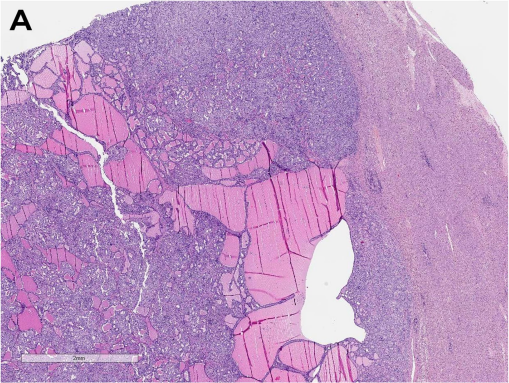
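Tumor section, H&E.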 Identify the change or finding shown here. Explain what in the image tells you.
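Cystic expansion. Large spaces filled with pink material lie within the tumor. A cleft-like empty space lies among the filled cavities.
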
